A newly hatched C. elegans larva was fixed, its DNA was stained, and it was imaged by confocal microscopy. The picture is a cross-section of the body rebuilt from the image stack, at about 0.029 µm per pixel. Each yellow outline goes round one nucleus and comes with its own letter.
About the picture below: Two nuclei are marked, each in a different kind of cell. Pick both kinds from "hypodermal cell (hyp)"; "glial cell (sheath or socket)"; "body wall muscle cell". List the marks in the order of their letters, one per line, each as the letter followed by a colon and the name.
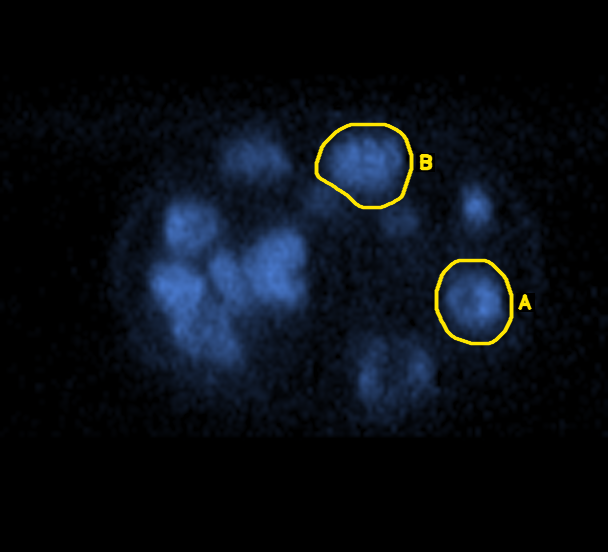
A: body wall muscle cell
B: glial cell (sheath or socket)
